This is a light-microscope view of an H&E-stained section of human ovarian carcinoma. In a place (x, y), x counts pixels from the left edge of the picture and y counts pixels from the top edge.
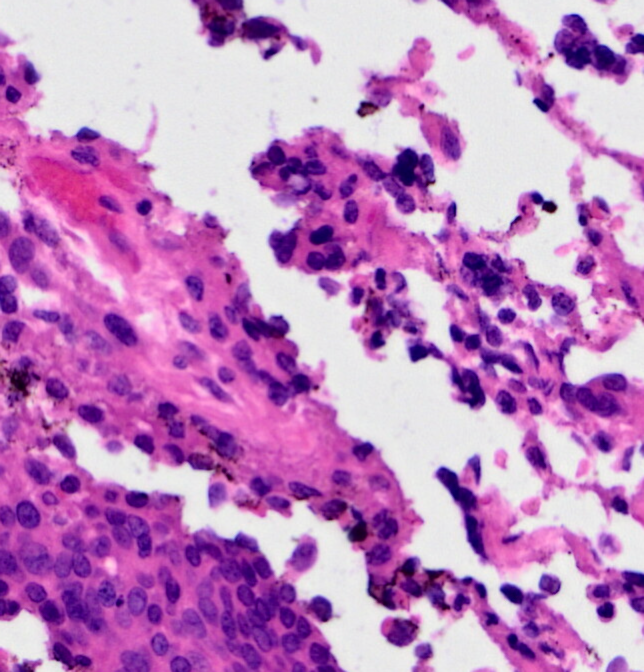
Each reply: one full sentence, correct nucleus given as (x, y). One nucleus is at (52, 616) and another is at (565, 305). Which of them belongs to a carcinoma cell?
Identified as belonging to a carcinoma cell is the nucleus at (52, 616).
